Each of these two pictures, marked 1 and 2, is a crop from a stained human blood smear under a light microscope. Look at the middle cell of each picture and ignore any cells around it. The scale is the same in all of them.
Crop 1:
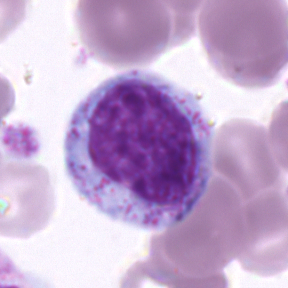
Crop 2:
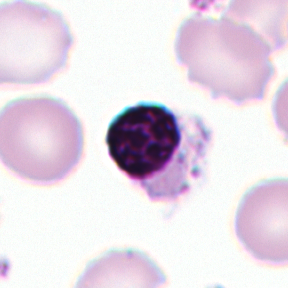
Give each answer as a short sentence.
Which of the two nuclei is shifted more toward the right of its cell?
The nucleus in crop 1 lies further toward the right of its cell.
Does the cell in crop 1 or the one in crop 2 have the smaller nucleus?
Crop 2 shows the smaller nucleus, since that in crop 1 covers about 2.5 times as much area.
